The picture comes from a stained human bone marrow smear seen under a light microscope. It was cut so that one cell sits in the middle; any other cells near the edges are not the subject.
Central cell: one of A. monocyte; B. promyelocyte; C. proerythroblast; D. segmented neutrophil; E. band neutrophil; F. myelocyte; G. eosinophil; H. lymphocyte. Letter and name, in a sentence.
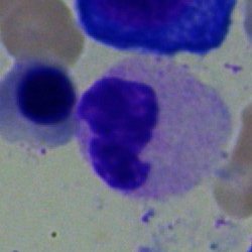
Occupying the middle of the crop is a band neutrophil, hence option E is correct.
